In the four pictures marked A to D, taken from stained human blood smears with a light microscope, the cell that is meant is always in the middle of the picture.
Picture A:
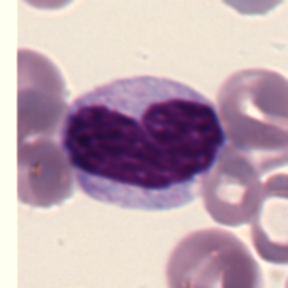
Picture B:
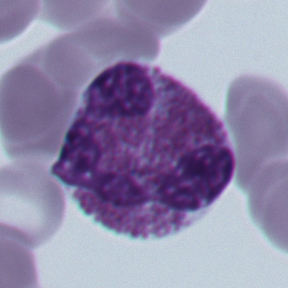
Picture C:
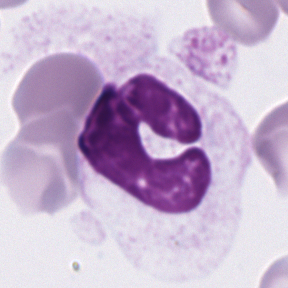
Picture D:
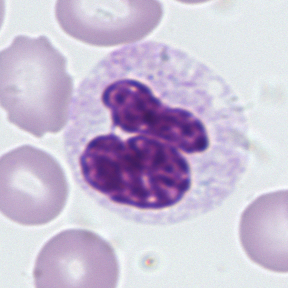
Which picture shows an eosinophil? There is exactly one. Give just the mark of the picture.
B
